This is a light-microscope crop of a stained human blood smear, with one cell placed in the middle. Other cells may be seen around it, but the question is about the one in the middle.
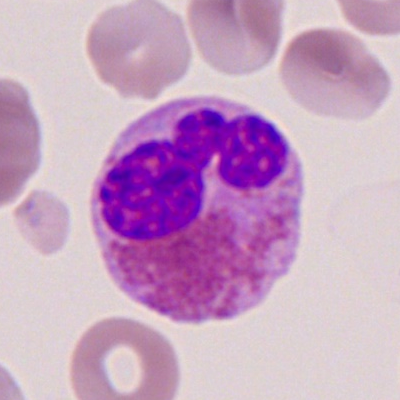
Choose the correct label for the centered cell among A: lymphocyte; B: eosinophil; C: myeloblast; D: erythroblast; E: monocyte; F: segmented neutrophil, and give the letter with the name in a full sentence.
Option B is to be chosen, as the central cell is an eosinophil.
